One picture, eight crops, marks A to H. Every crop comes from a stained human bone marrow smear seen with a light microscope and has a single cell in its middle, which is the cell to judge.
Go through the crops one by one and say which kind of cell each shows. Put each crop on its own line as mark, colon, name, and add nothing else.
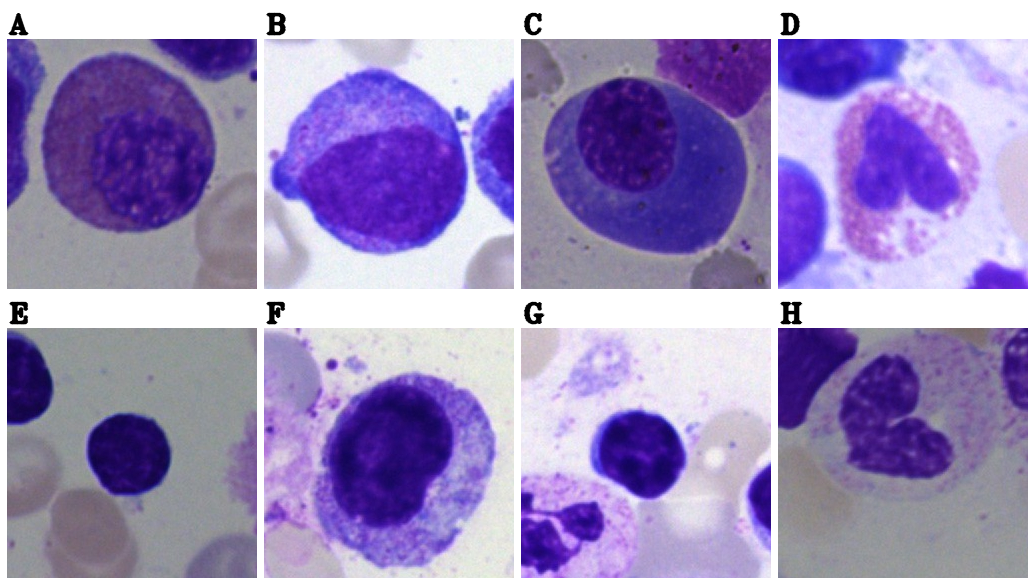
A: eosinophil
B: promyelocyte
C: plasma cell
D: eosinophil
E: lymphocyte
F: metamyelocyte
G: lymphocyte
H: segmented neutrophil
